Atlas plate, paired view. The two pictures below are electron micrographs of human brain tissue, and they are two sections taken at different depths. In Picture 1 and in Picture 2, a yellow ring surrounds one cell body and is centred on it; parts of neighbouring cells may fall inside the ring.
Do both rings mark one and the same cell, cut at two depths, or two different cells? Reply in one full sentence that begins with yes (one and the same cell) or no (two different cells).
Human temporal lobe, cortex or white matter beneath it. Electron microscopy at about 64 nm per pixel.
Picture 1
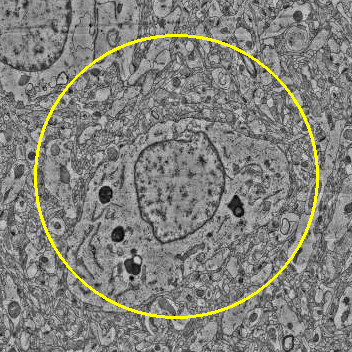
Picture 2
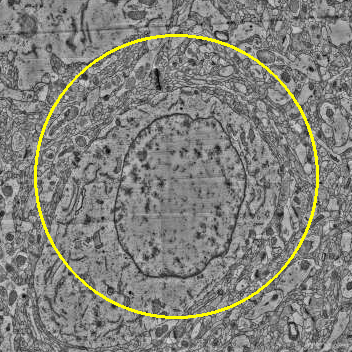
Yes, the cell inside the first ring is the cell inside the second.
